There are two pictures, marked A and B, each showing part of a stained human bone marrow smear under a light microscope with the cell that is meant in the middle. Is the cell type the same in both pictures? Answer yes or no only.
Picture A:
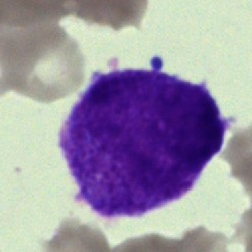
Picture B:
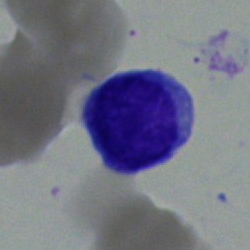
no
